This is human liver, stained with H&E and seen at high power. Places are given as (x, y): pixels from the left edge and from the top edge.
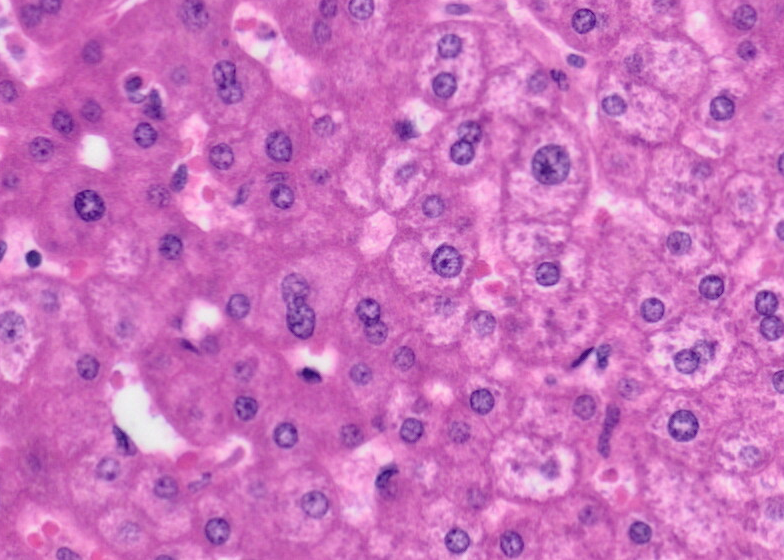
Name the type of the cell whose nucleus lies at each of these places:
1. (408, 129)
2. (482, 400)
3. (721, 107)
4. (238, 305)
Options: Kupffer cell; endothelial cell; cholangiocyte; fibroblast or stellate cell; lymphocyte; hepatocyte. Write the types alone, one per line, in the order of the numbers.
endothelial cell
hepatocyte
hepatocyte
hepatocyte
